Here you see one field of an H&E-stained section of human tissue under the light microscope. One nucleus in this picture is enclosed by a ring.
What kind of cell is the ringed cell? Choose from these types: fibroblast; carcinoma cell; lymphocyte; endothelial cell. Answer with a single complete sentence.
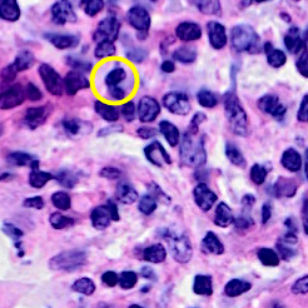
The category to which the ringed cell belongs is that of a lymphocyte.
